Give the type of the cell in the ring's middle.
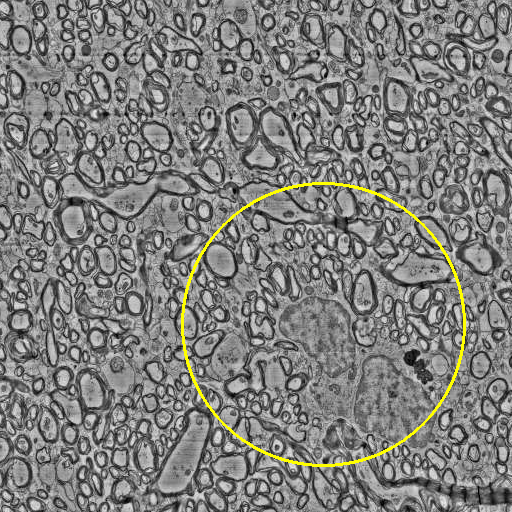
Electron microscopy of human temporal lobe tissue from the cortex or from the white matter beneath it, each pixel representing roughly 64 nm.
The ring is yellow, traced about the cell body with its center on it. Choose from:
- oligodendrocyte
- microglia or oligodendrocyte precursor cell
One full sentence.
Here, an oligodendrocyte is the cell lying at the center of the yellow ring.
